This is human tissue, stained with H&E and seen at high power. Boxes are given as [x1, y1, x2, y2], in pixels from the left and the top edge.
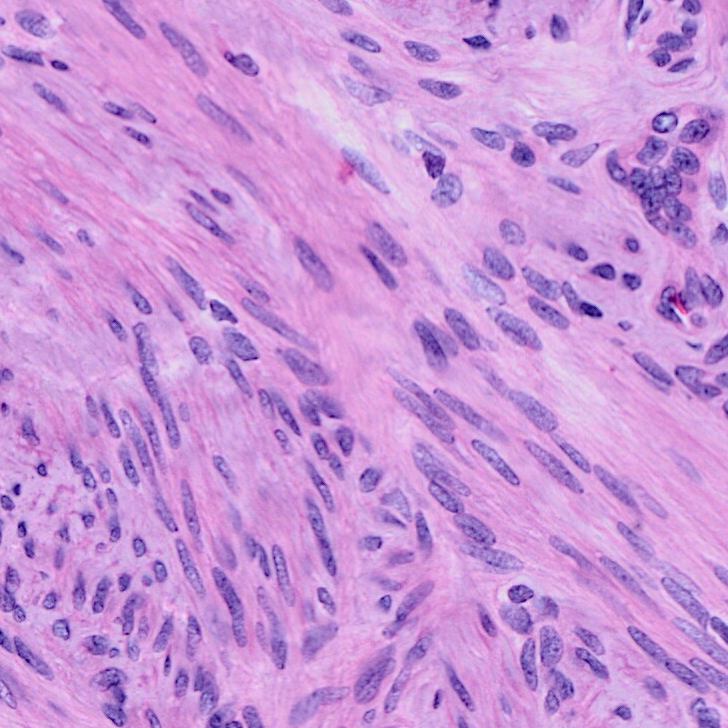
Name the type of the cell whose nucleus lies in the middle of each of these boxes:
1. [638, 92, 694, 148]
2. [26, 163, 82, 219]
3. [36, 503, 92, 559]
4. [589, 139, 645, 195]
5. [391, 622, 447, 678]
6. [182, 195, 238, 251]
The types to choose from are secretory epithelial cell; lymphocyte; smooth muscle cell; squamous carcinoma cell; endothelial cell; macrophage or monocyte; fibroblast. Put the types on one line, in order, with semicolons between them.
endothelial cell; smooth muscle cell; smooth muscle cell; endothelial cell; smooth muscle cell; smooth muscle cell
